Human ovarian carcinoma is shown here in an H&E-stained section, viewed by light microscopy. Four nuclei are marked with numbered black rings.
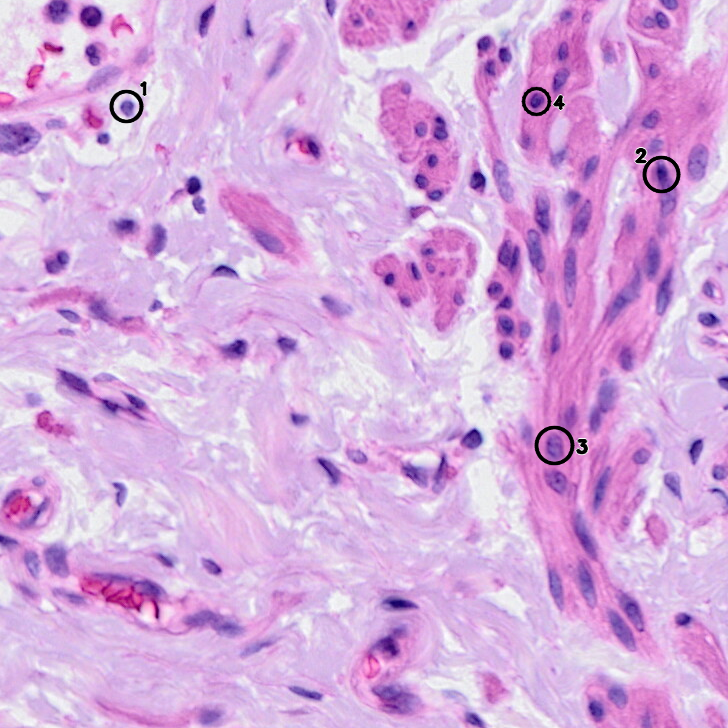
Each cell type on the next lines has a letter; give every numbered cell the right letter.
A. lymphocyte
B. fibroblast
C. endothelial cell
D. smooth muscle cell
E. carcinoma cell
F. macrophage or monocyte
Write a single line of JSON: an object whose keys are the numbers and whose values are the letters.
{"1": "A", "2": "D", "3": "D", "4": "D"}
